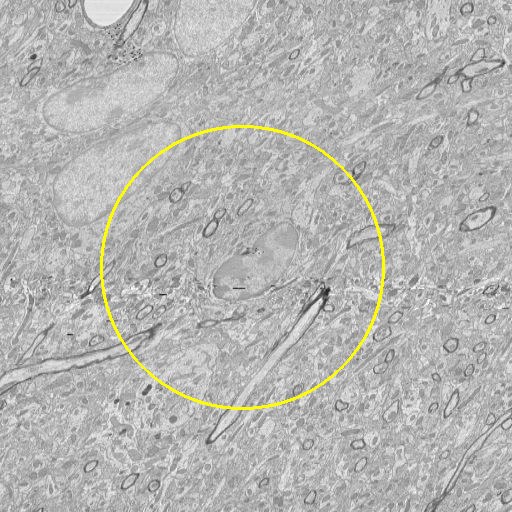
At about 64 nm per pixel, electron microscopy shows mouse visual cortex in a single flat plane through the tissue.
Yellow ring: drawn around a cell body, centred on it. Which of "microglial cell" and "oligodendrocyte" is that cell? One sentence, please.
That cell body is from a microglial cell.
